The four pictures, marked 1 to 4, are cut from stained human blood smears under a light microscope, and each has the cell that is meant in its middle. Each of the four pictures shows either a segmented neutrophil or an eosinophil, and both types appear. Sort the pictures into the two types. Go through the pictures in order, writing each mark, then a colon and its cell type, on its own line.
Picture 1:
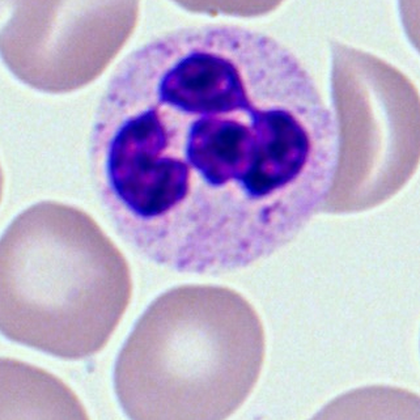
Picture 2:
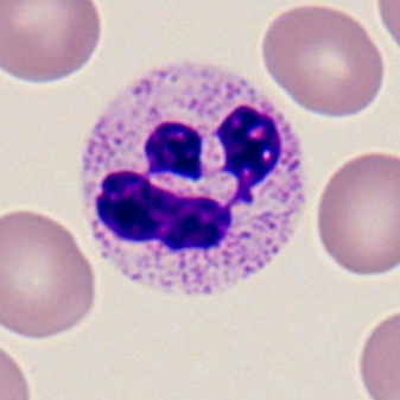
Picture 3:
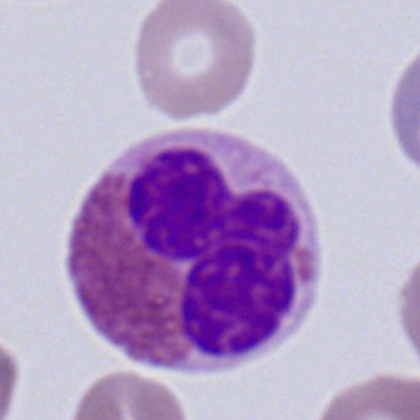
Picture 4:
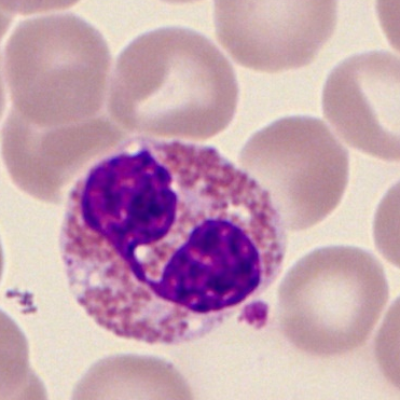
1: segmented neutrophil
2: segmented neutrophil
3: eosinophil
4: eosinophil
